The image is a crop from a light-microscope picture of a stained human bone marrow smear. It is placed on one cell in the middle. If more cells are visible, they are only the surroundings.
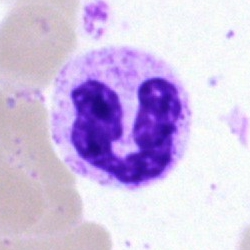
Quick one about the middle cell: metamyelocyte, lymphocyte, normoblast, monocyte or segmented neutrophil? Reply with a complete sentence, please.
The cell at the centre of the field is a segmented neutrophil.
